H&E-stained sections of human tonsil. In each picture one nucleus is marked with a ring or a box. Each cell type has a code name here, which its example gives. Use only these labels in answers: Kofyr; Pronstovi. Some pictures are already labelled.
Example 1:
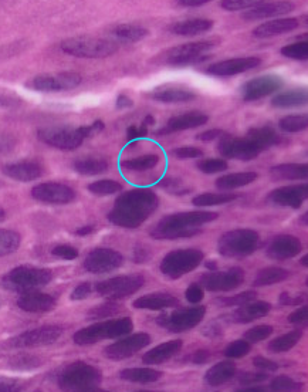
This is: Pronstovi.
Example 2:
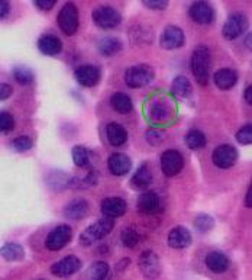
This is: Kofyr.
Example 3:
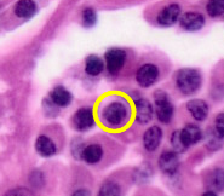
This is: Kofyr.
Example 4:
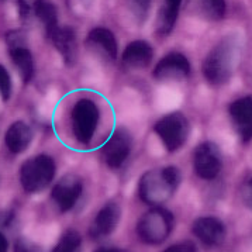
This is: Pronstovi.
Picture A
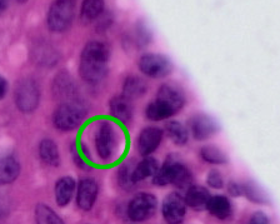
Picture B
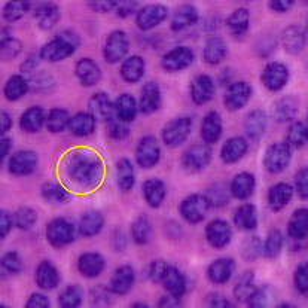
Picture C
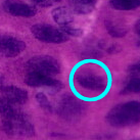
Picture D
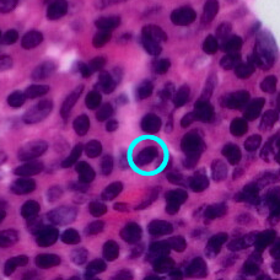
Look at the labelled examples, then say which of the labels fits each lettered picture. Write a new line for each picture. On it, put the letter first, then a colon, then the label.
A: Pronstovi.
B: Kofyr.
C: Pronstovi.
D: Kofyr.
